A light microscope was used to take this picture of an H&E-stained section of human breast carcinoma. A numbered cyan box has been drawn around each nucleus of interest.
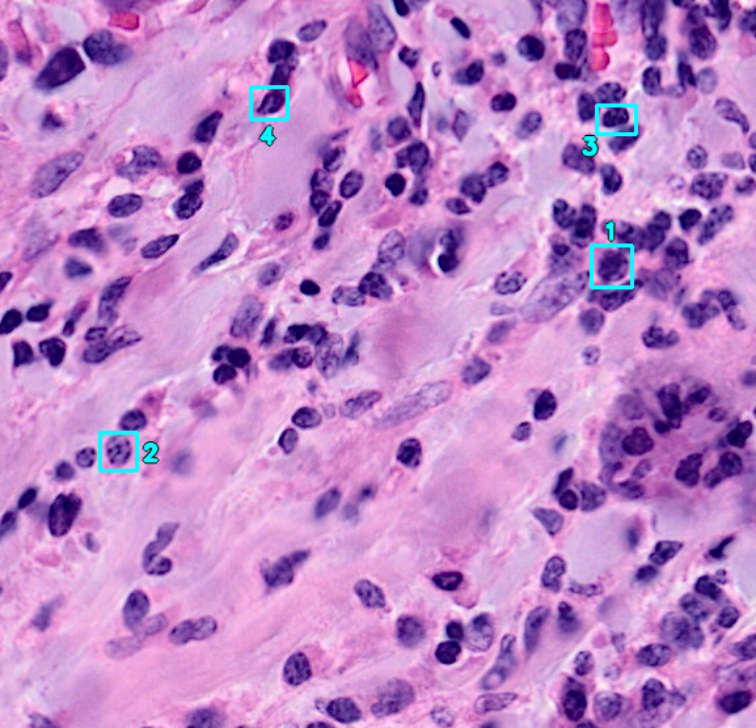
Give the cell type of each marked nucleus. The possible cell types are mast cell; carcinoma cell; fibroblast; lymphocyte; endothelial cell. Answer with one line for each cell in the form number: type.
1: lymphocyte
2: mast cell
3: lymphocyte
4: lymphocyte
